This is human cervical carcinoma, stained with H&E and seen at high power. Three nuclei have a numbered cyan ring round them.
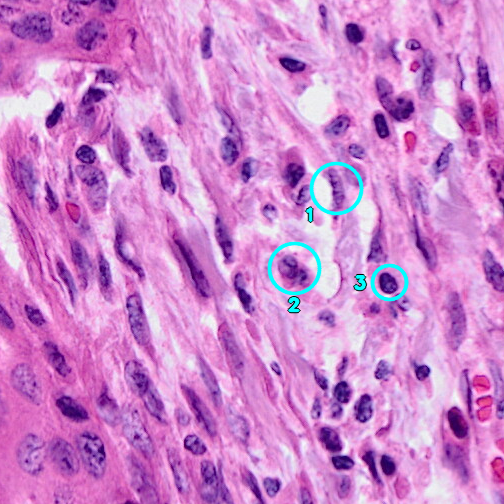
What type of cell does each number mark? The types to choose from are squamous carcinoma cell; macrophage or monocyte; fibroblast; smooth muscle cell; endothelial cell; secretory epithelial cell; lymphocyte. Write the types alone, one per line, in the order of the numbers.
fibroblast
macrophage or monocyte
lymphocyte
